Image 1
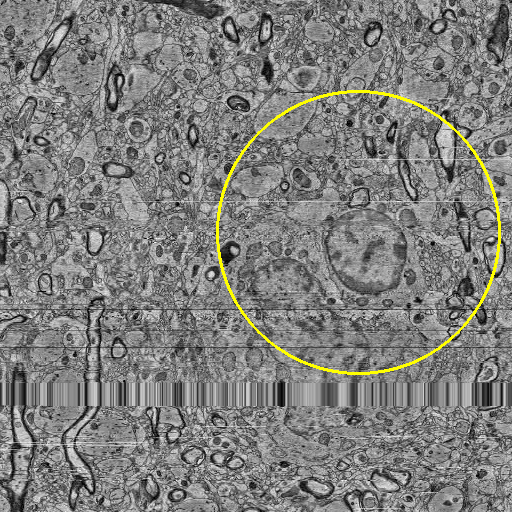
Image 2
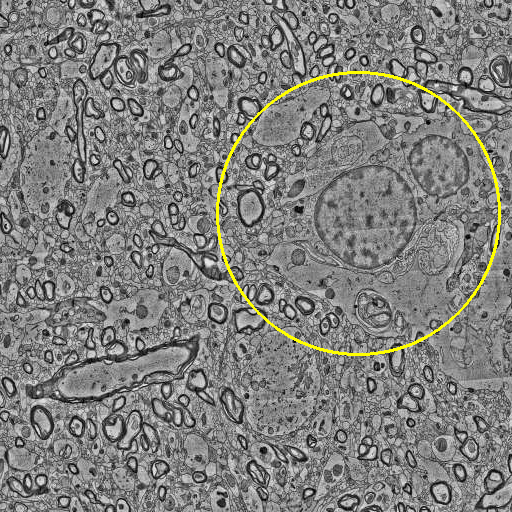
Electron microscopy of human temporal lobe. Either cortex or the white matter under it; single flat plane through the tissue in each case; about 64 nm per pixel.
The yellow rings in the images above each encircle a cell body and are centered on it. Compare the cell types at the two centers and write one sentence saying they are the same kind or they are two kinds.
Taken together, the two cells at the ring centers are the same kind.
